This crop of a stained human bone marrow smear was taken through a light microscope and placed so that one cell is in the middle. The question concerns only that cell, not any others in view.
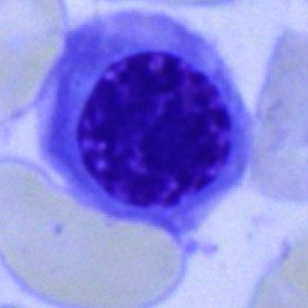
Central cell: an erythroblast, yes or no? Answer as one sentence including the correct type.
Yes, the cell occupying the middle of the crop is an erythroblast.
